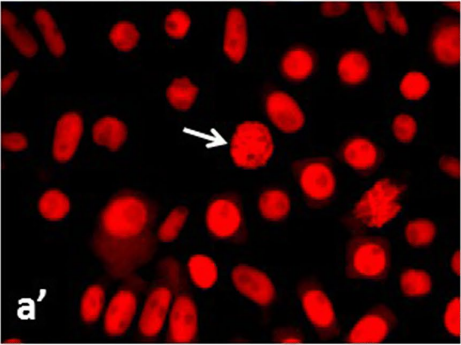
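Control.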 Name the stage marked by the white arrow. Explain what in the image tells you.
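The marked nucleus is round with granular, threadlike condensed chromatin. Its chromatin is not arranged into separate chromosomes lined up or pulled apart.
Answer: prophase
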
